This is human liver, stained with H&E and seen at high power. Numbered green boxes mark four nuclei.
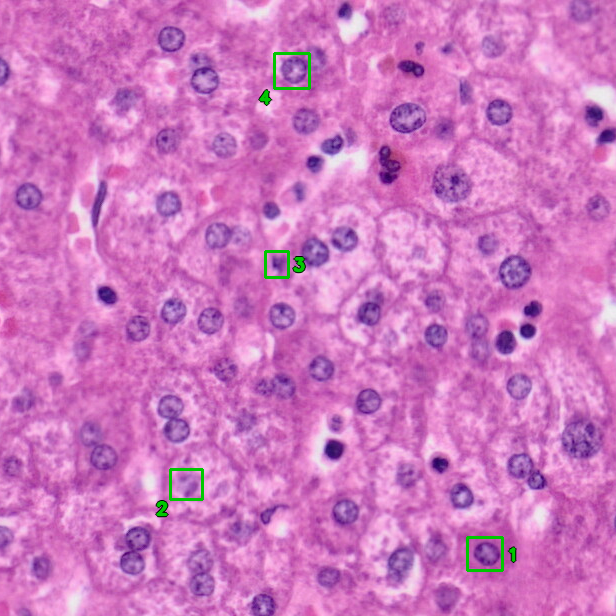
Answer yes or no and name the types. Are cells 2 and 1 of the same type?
Yes, cells 2 and 1 are two hepatocytes.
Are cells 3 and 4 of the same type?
No, the identities are a fibroblast or stellate cell for cell 3 and a hepatocyte for cell 4.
